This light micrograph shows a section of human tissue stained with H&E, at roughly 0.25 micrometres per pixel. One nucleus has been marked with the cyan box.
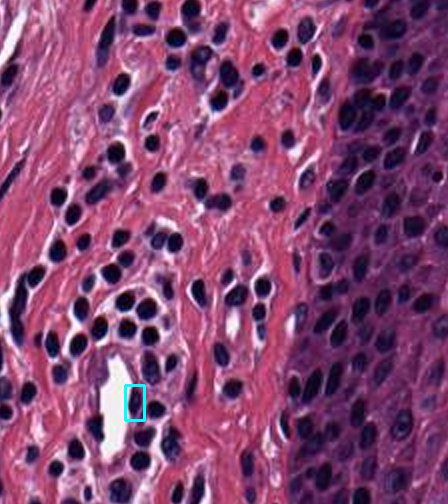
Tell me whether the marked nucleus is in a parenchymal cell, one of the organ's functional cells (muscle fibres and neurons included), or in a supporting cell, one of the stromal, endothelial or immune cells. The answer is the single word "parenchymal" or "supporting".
supporting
